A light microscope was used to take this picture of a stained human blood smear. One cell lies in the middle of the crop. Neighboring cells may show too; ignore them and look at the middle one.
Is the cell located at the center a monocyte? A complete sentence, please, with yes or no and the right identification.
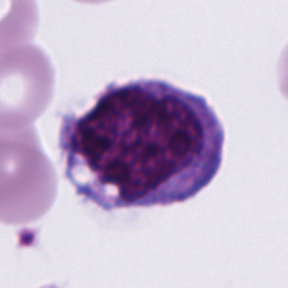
Yes, that is a monocyte in the middle of the crop.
